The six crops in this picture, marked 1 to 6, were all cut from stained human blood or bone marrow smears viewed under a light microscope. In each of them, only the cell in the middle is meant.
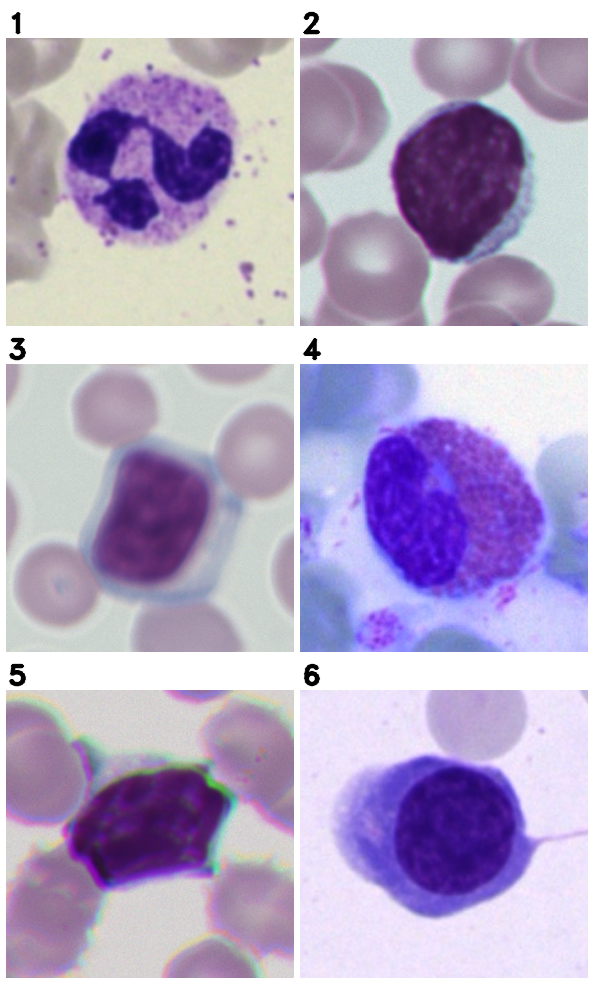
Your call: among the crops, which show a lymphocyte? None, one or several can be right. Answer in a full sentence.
Of the crops given, crops 2, 3 and 5 show lymphocytes.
